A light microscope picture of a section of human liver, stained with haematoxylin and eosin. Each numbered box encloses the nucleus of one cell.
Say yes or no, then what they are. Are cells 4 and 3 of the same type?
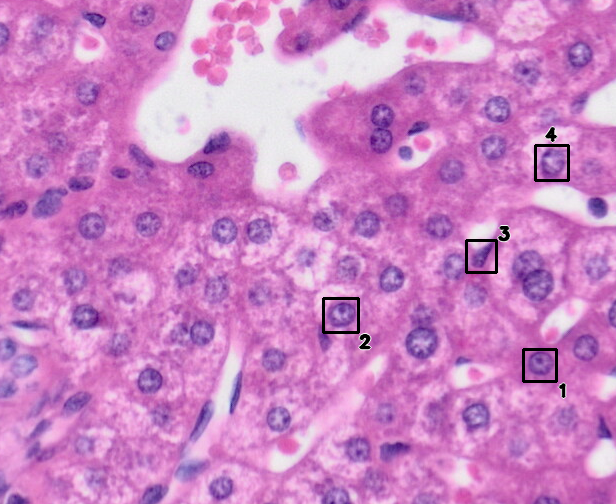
No; cell 4 is a hepatocyte, and cell 3 is a fibroblast or stellate cell.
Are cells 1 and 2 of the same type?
Yes, within the numbered set, cells 1 and 2 are both hepatocytes.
